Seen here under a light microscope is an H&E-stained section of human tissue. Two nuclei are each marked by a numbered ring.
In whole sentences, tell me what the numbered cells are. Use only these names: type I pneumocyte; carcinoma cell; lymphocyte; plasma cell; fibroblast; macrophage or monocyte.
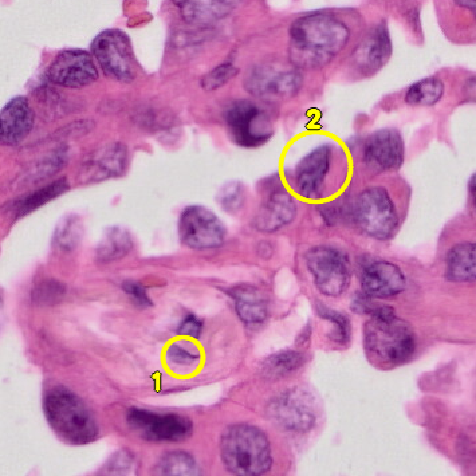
Cell 1 is a fibroblast. Cell 2 is a carcinoma cell.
